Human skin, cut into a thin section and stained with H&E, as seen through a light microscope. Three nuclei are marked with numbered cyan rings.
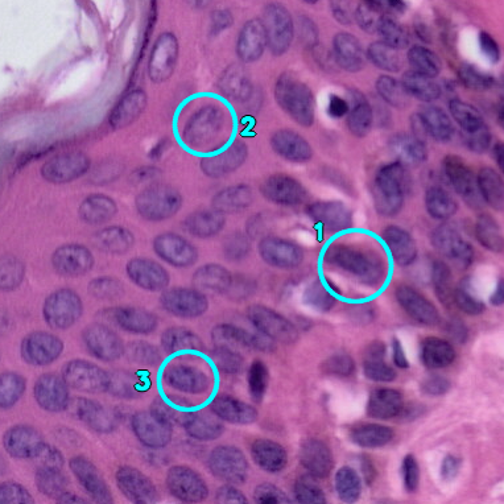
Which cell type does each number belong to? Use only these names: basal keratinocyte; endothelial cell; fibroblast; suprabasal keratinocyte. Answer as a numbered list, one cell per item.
1. basal keratinocyte
2. suprabasal keratinocyte
3. suprabasal keratinocyte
